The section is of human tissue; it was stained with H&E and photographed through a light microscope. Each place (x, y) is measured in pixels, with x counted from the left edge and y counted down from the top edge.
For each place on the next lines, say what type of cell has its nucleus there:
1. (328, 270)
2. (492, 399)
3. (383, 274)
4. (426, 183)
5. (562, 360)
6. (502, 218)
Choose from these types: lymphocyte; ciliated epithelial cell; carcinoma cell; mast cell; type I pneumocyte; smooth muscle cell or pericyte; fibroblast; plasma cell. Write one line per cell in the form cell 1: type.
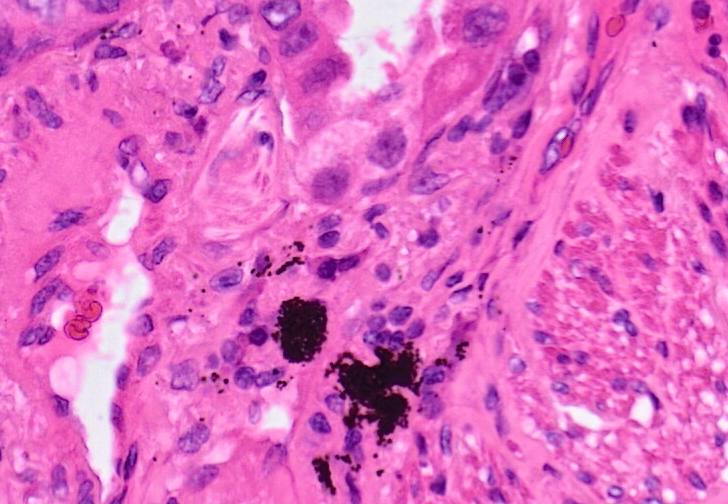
cell 1: plasma cell
cell 2: mast cell
cell 3: lymphocyte
cell 4: fibroblast
cell 5: smooth muscle cell or pericyte
cell 6: fibroblast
